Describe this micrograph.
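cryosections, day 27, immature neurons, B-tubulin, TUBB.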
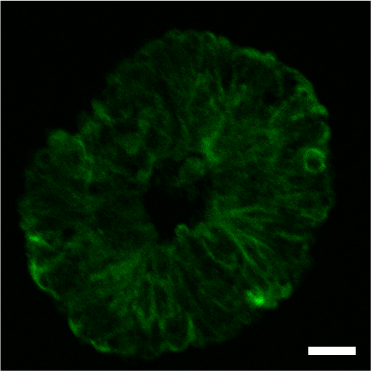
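This is a section through a round neural organoid in which the green label picks out fine fibres rather than nuclei. Thin green strands run radially from a dark central opening towards the rim, giving the section a spoke-like pattern around its middle. The staining is stronger along the outer border, where brighter short profiles and curls sit at the surface. The central hollow is free of label. Individual cell bodies are not sharply outlined; what shows is the meshwork of slender fibres threading through the tissue around the central lumen.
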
